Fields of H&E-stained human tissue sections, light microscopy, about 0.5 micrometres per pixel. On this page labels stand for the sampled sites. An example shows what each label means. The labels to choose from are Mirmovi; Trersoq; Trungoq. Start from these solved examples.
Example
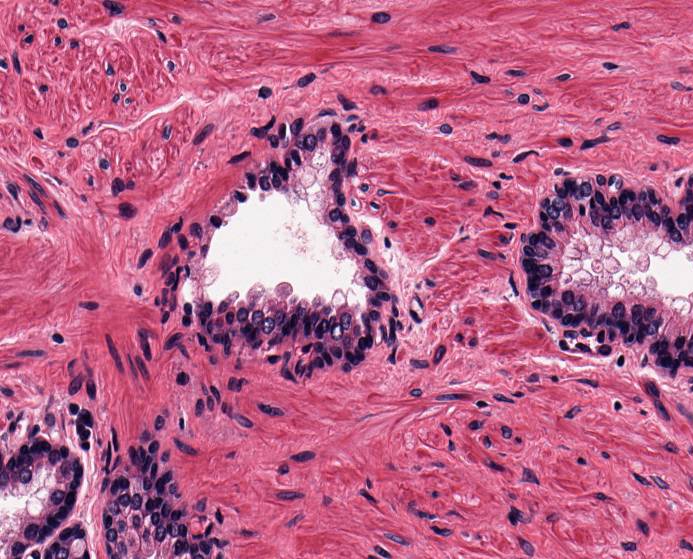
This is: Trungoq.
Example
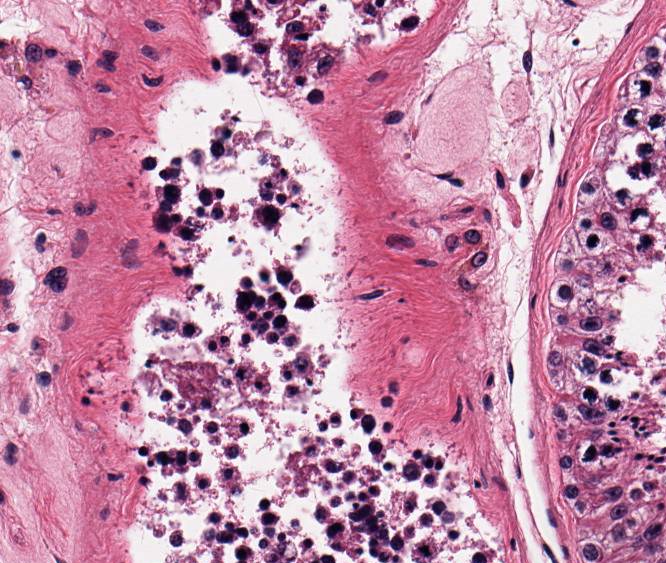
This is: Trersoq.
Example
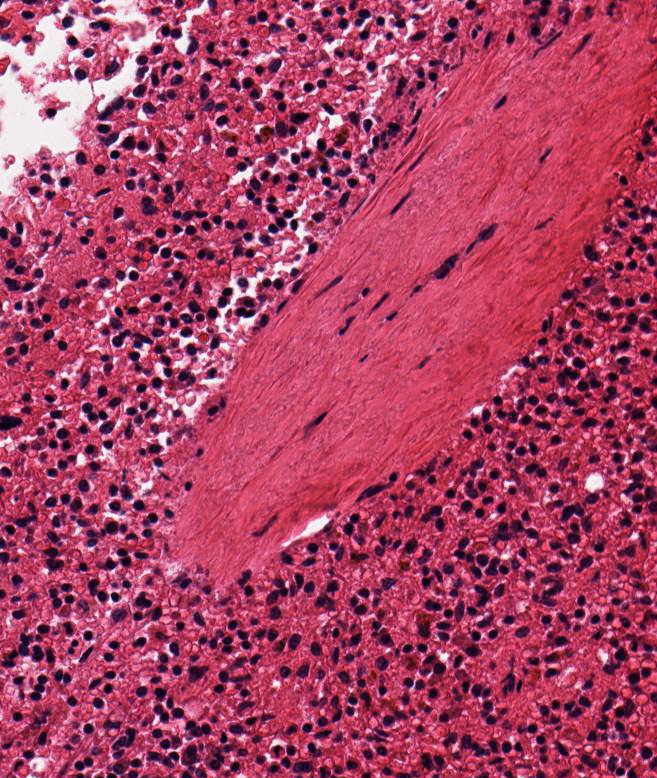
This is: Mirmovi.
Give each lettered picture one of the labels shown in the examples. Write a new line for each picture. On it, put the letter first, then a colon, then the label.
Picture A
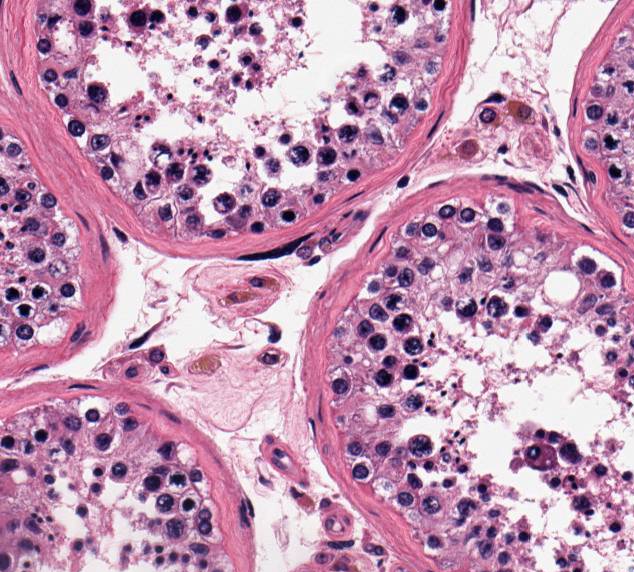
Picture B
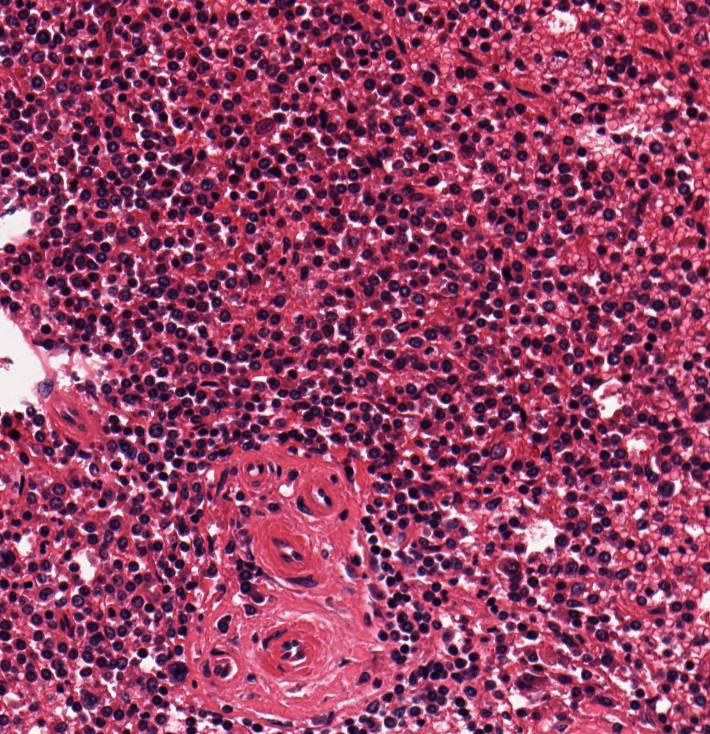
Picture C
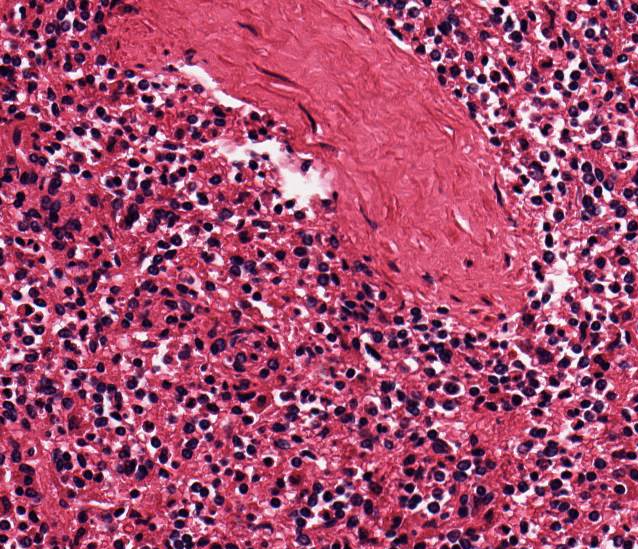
A: Trersoq.
B: Mirmovi.
C: Mirmovi.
